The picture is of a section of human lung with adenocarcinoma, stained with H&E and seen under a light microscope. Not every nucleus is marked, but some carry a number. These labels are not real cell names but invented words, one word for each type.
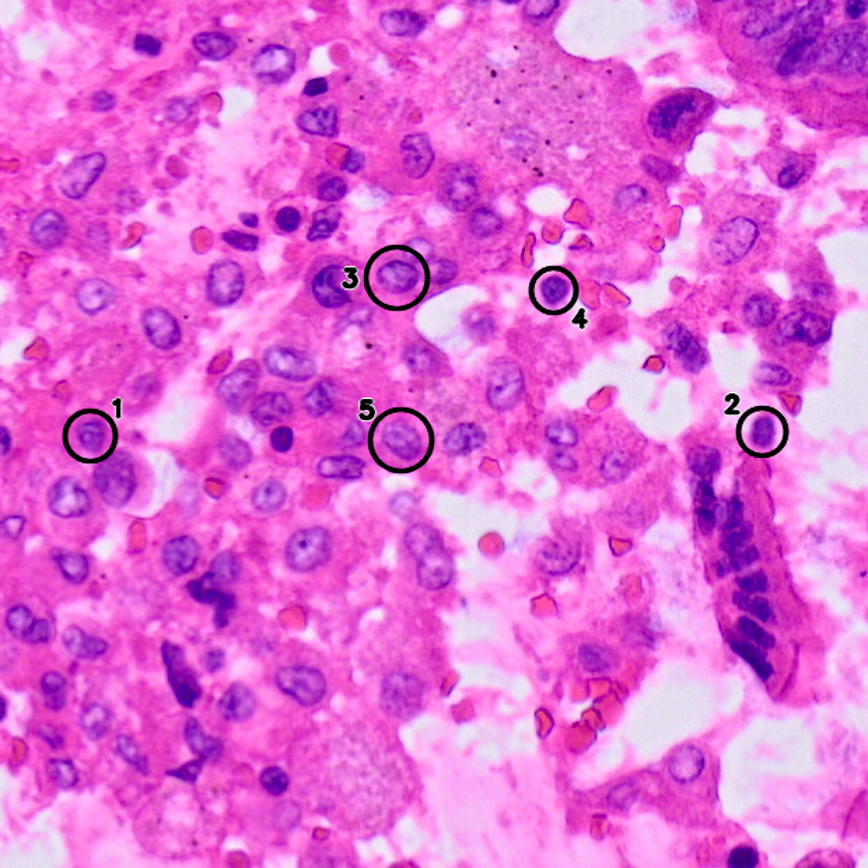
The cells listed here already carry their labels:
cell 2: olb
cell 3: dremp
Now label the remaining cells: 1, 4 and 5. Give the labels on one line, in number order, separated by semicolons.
dremp; olb; dremp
